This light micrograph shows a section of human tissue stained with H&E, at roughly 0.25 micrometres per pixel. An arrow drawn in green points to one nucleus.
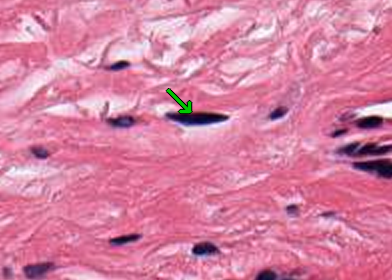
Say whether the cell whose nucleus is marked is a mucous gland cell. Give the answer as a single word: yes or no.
no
